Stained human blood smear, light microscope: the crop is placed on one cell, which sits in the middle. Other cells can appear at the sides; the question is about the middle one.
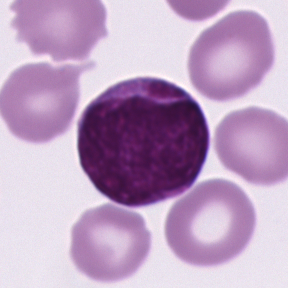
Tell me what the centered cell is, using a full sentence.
Present in the middle of the crop is a blast.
